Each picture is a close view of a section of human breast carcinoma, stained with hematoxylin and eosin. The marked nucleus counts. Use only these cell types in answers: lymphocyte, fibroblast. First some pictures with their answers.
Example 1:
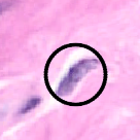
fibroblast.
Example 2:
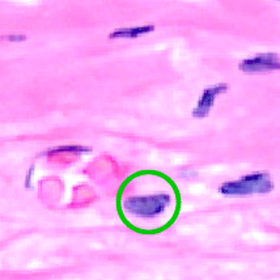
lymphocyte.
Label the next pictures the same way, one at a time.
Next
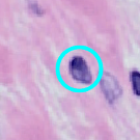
lymphocyte.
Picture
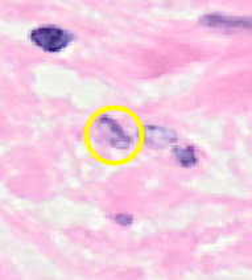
fibroblast.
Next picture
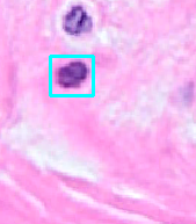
lymphocyte.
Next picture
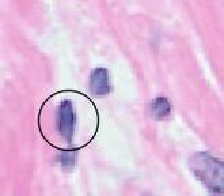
lymphocyte.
